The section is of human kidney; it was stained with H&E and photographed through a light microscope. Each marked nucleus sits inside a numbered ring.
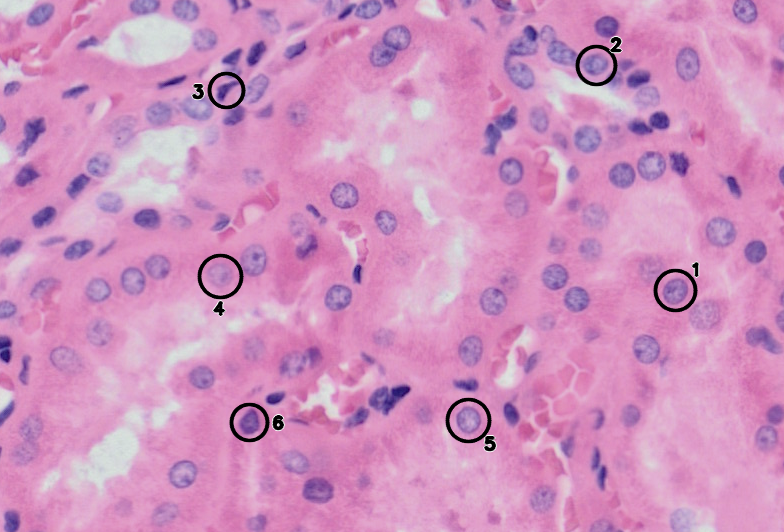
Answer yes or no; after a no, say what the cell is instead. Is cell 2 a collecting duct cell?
Yes.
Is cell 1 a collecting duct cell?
No, it is a proximal tubule cell.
